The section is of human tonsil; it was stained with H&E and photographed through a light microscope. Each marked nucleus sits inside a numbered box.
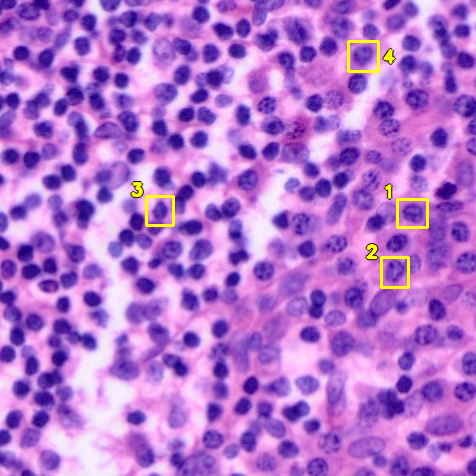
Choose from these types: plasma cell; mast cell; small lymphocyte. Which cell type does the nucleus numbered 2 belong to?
plasma cell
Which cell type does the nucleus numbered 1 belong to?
plasma cell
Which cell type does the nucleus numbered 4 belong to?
plasma cell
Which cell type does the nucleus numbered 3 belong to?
small lymphocyte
